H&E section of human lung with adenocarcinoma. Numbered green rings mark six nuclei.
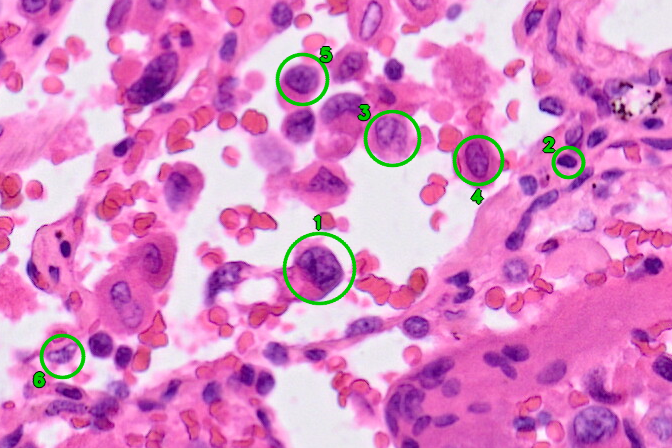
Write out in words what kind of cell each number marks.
Cells 1, 3 and 5 are carcinoma cells. Cell 2 is a lymphocyte. Cell 4 is a macrophage or monocyte. Cell 6 is a type I pneumocyte.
